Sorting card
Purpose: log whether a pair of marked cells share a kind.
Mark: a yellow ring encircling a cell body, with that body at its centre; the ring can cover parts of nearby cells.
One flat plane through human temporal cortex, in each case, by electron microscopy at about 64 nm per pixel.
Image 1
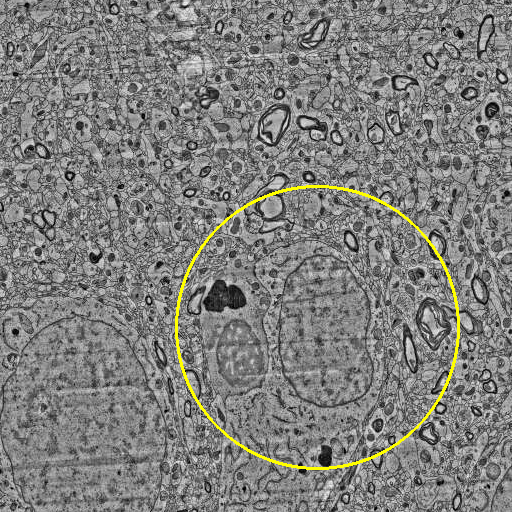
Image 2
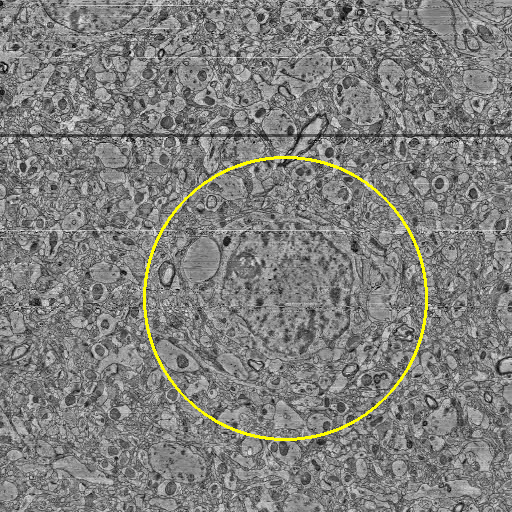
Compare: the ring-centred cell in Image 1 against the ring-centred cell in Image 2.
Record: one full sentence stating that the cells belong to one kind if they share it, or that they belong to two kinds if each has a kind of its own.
Across Images 1 and 2, the two ring-centred cells belong to two kinds.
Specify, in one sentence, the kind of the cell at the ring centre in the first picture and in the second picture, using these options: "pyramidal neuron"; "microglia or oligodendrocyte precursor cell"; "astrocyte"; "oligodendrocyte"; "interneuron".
So the first is a pyramidal neuron, the second an interneuron.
